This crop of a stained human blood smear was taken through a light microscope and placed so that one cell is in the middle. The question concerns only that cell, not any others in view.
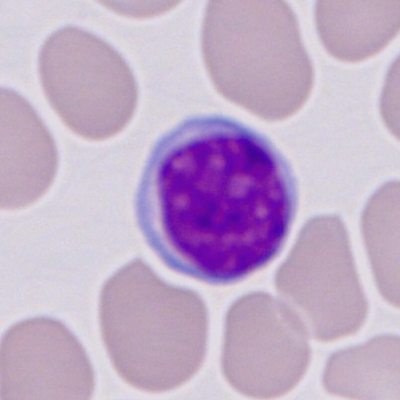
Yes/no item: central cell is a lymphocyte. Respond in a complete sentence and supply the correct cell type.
Yes, the cell found at the centre of the crop is a lymphocyte.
